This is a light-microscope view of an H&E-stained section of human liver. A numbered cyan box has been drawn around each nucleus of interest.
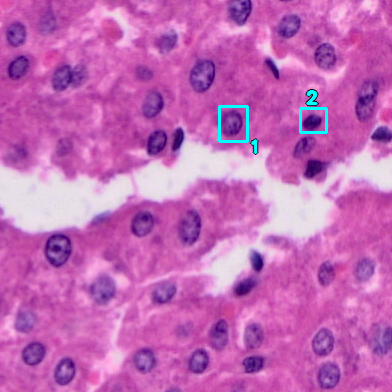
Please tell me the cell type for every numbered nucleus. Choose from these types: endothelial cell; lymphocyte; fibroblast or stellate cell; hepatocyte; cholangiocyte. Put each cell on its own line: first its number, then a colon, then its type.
1: hepatocyte
2: fibroblast or stellate cell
